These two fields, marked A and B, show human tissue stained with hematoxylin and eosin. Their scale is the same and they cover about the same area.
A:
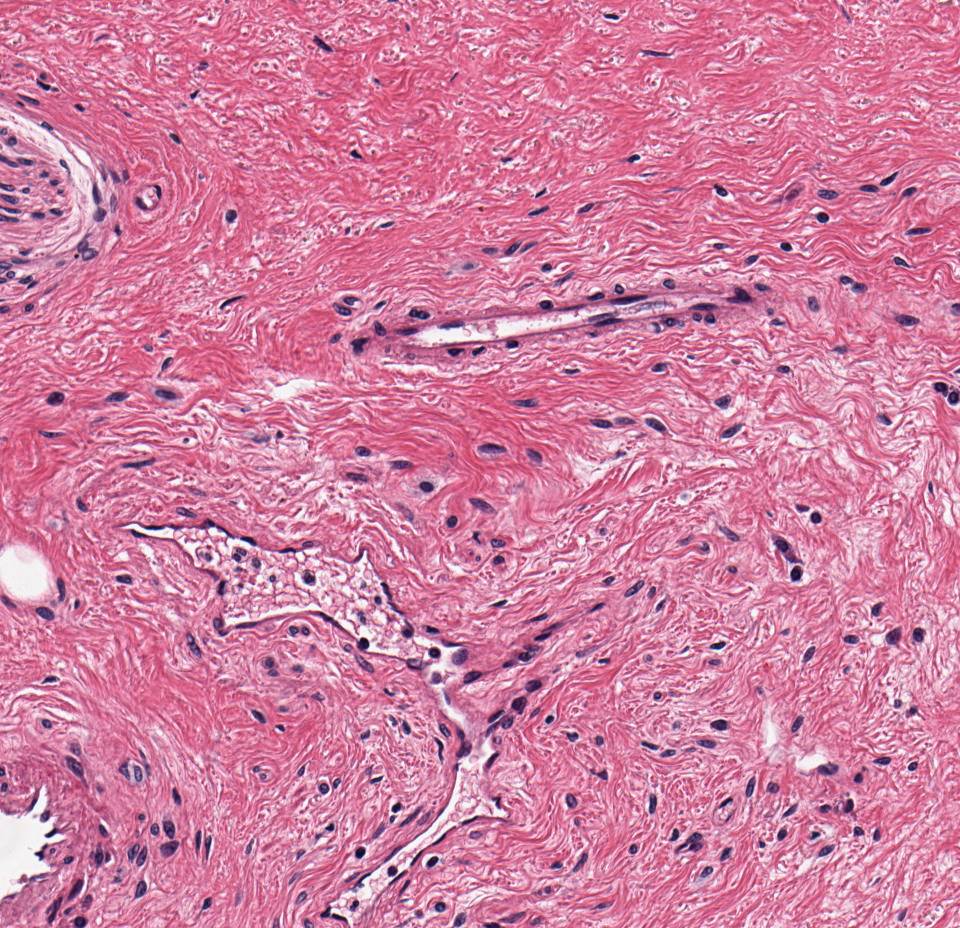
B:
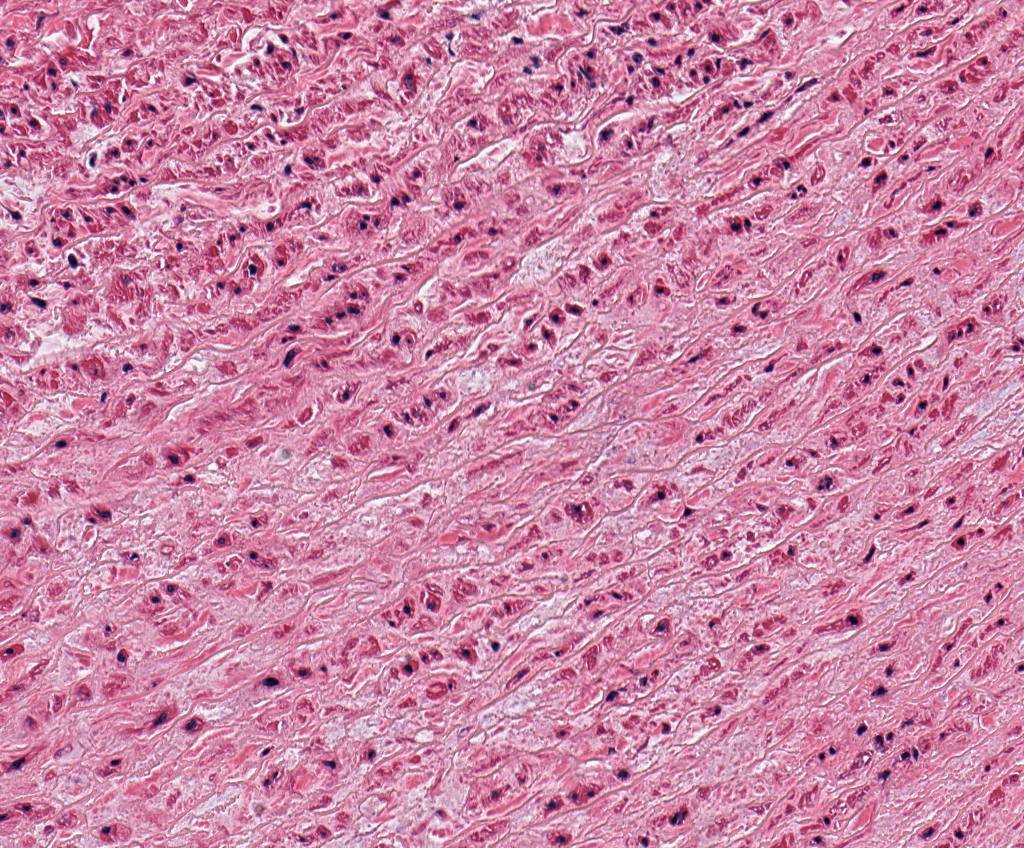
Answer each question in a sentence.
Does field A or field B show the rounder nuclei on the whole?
It is field B whose nuclei are the rounder.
